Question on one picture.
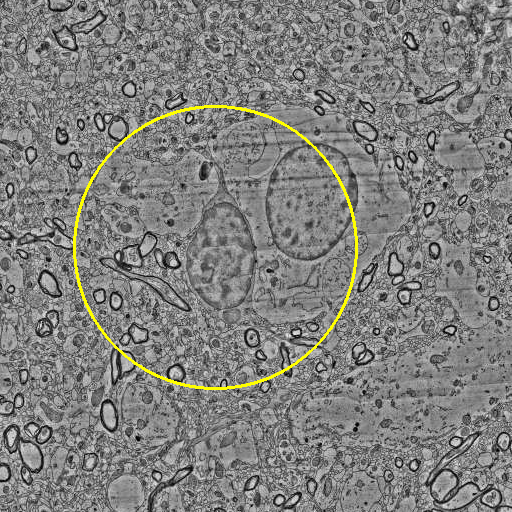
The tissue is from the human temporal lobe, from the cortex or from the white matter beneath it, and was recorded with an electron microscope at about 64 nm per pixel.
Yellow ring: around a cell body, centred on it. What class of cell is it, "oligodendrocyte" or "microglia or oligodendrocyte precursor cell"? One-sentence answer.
This is an oligodendrocyte, the cell the ring is centred on.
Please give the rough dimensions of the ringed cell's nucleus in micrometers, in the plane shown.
Clearly longer than it is wide in this plane, the nucleus measures roughly 7 by 4 micrometres.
